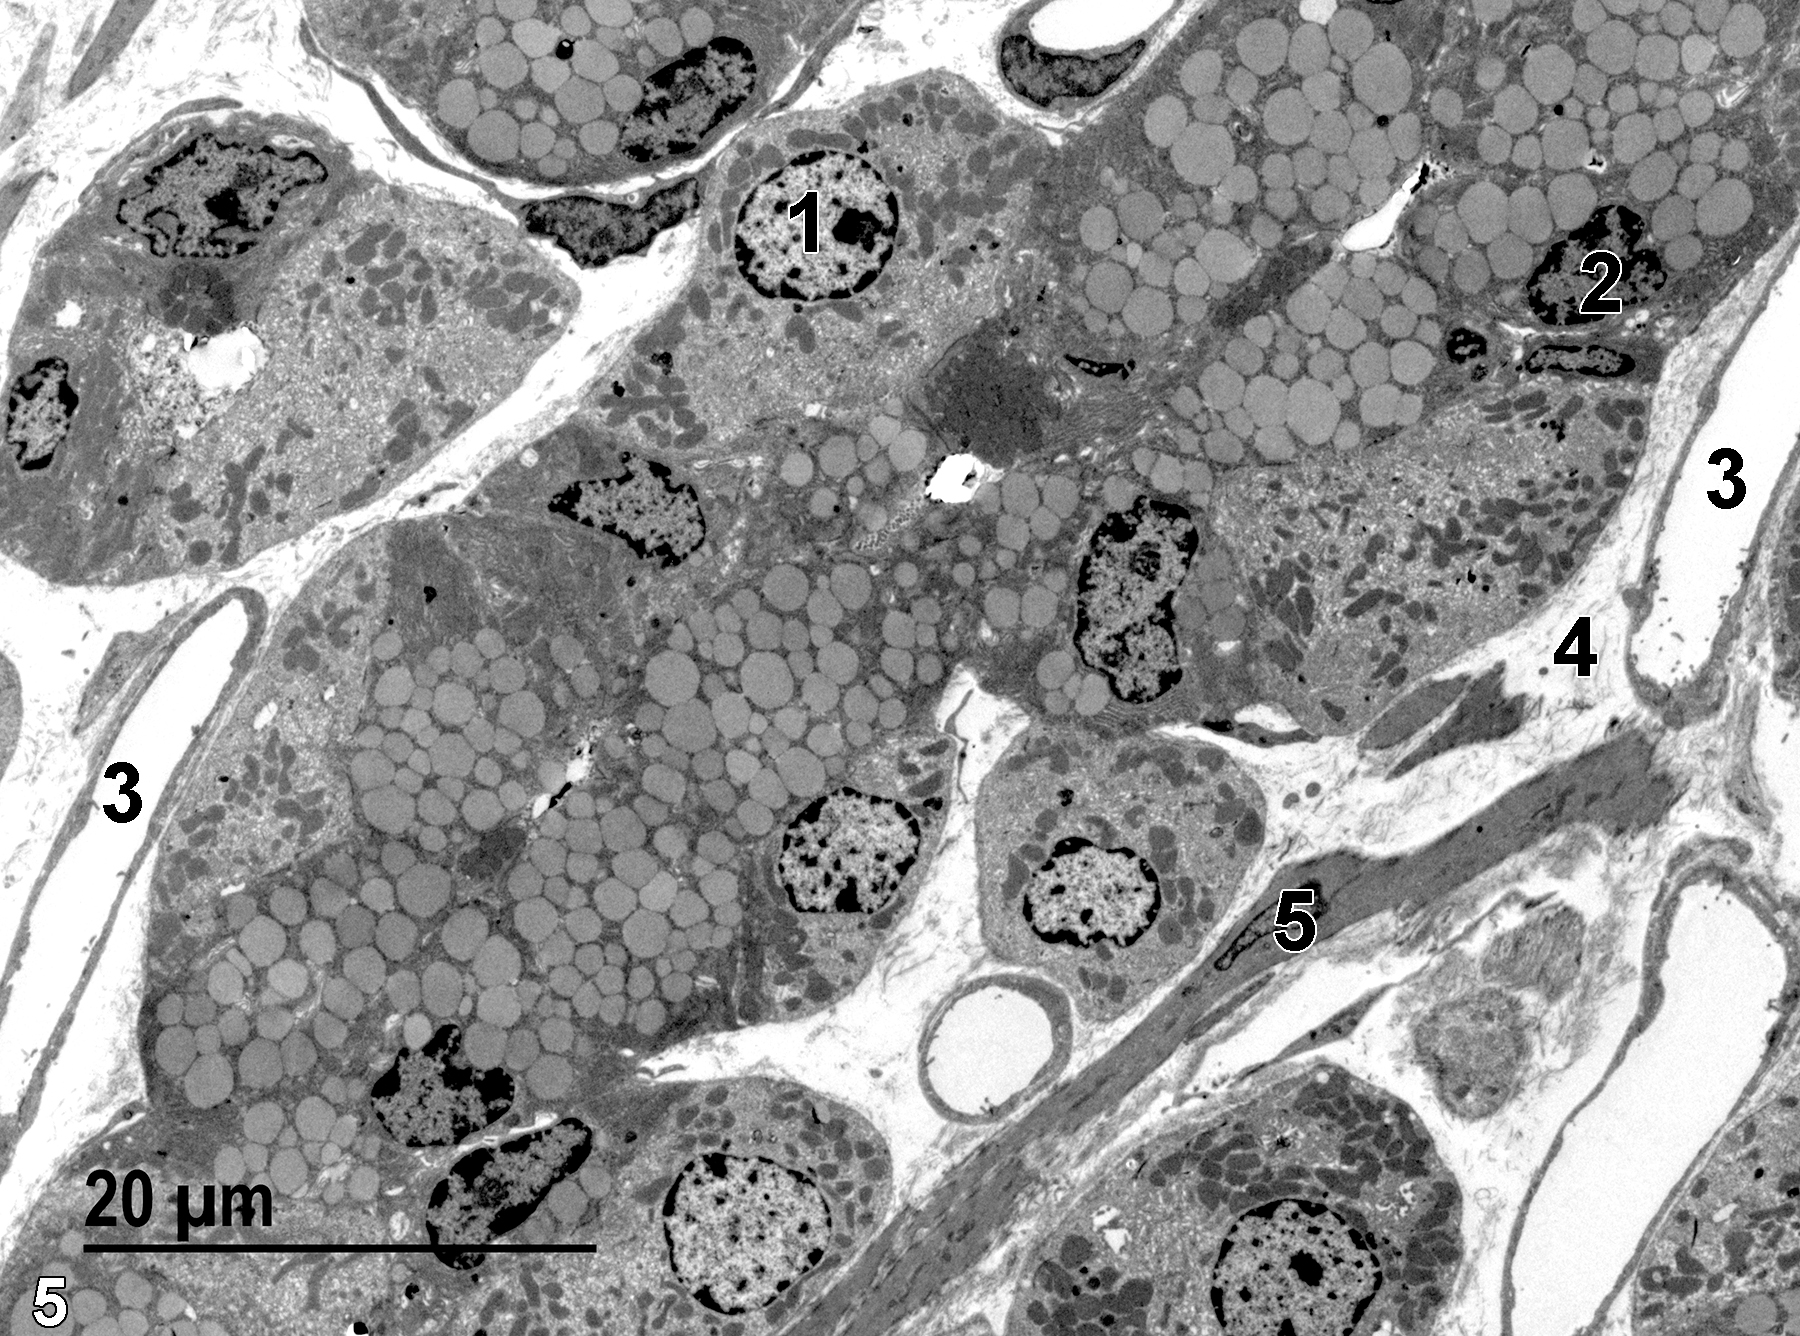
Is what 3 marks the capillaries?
Yes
